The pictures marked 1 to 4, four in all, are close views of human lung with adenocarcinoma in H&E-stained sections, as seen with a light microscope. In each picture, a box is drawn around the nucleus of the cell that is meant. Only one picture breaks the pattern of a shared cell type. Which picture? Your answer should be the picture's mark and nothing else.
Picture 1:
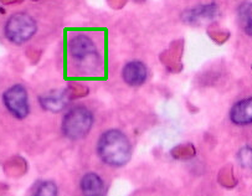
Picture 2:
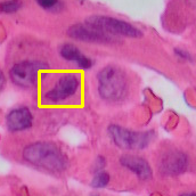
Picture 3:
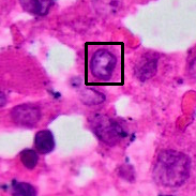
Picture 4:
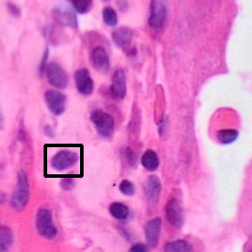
4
